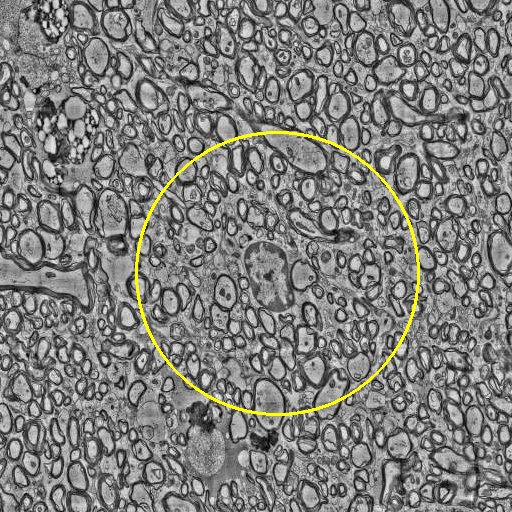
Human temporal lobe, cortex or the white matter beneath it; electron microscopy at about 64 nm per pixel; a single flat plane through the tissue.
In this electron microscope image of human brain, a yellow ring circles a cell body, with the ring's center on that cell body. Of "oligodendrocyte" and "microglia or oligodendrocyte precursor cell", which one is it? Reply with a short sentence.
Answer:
It is a microglial cell or oligodendrocyte precursor cell at the center of the ring.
